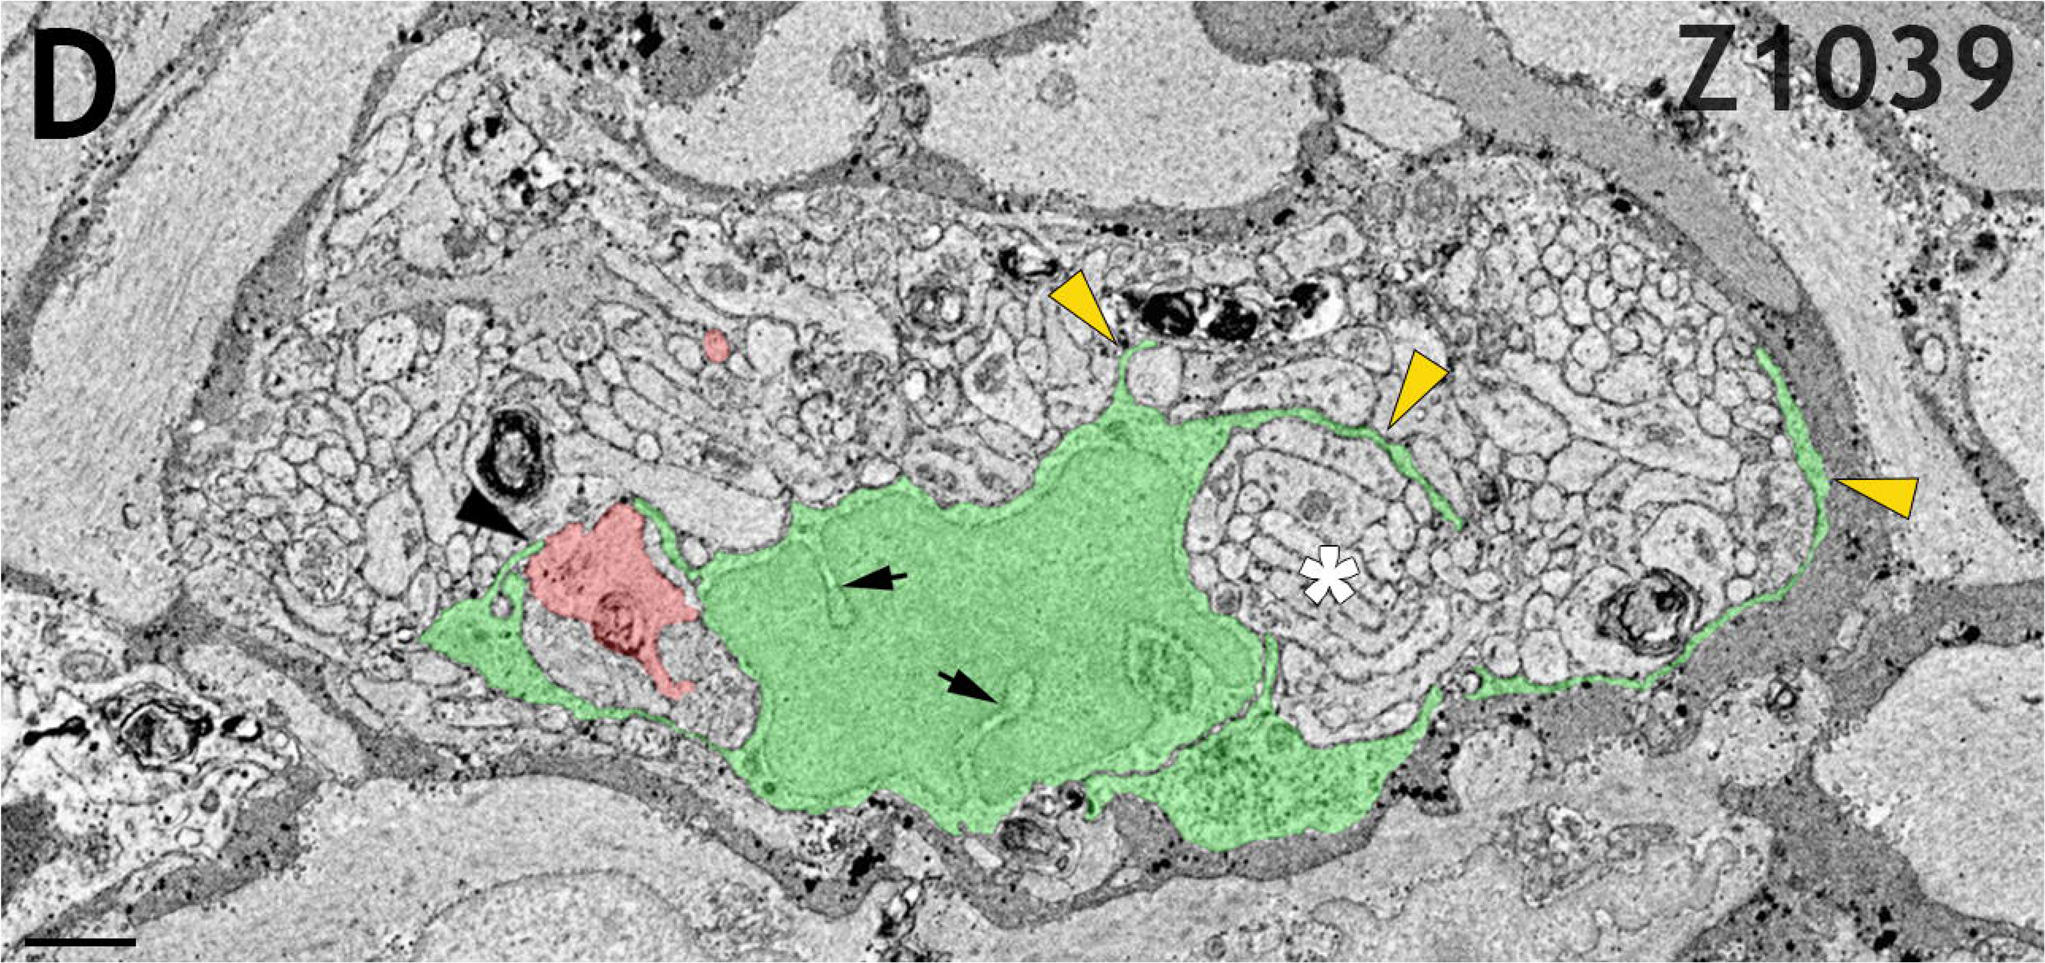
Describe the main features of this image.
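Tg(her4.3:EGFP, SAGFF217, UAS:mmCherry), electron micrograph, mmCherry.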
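Cross-sectioned nerve bundle within smooth muscle, centred on a large green-coloured cell with a small red-coloured neuronal profile beside it. The green cell body shows infoldings of its nuclear outline and sends thin sheet-like extensions that wrap around groups of small pale axon profiles. One long extension follows the outer rim of the bundle. The red profile sits against the green cell and is partly embraced by its processes.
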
